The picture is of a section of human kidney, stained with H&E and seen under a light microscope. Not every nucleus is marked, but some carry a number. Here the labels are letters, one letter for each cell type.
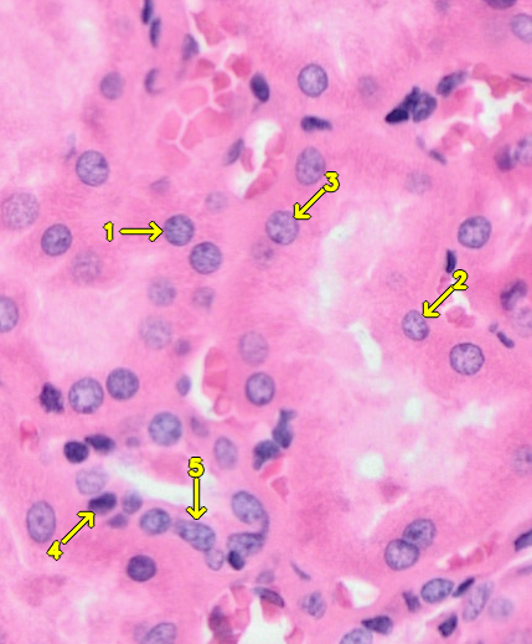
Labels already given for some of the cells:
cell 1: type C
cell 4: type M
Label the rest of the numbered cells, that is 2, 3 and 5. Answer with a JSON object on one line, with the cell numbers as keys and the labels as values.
{"2": "type C", "3": "type C", "5": "type M"}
